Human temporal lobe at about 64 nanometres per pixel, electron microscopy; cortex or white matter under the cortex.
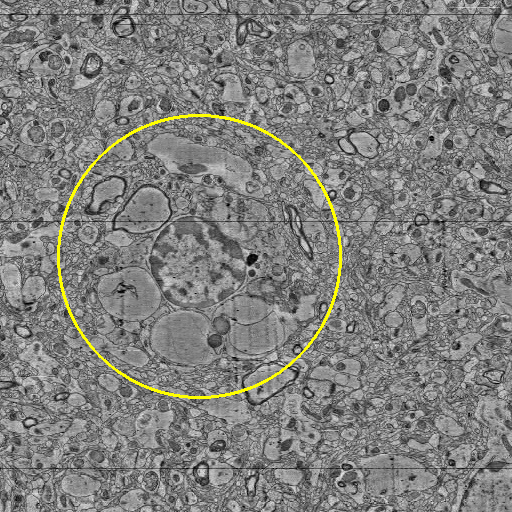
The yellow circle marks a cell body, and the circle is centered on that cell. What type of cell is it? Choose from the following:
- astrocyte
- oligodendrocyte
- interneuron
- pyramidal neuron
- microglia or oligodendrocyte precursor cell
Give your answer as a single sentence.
This cell body belongs to a microglial cell or oligodendrocyte precursor cell.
